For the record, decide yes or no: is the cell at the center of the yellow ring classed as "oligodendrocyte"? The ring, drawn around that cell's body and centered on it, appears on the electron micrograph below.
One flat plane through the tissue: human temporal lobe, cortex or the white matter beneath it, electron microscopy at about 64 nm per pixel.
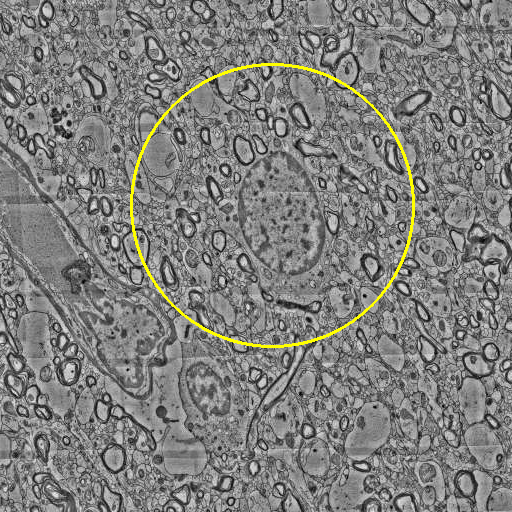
yes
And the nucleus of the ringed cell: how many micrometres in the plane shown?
The nucleus is approximately 8 micrometres long but only about 5 wide, clearly longer than it is wide in this plane.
